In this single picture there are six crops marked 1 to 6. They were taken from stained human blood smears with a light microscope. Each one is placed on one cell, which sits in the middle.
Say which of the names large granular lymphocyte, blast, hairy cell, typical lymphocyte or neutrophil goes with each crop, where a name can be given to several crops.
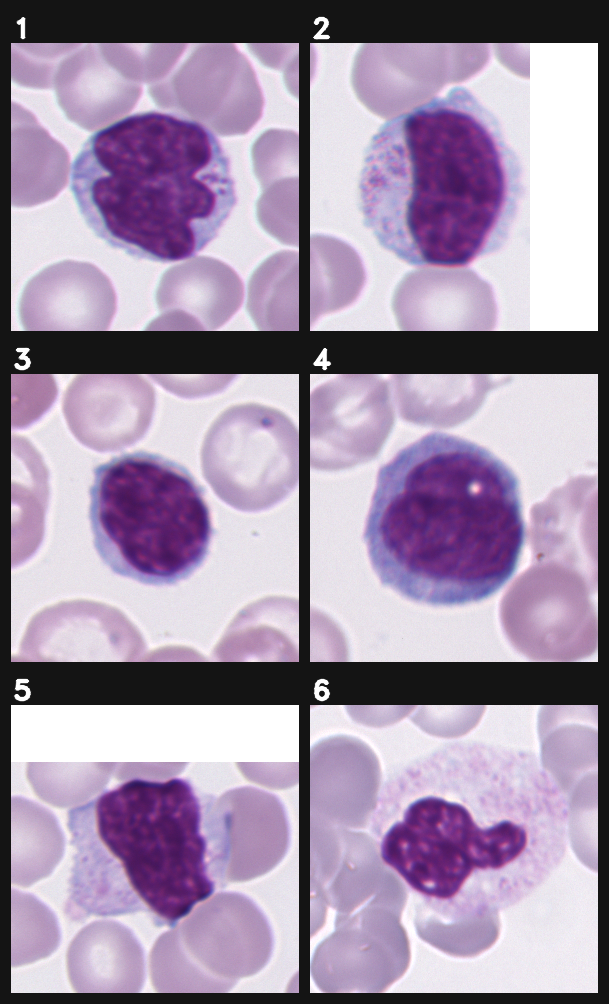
1: large granular lymphocyte
2: large granular lymphocyte
3: typical lymphocyte
4: blast
5: large granular lymphocyte
6: neutrophil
